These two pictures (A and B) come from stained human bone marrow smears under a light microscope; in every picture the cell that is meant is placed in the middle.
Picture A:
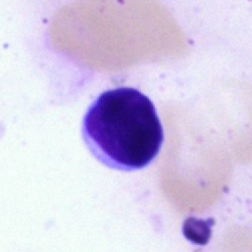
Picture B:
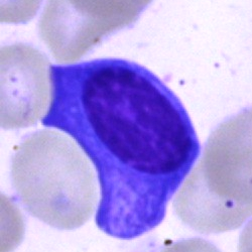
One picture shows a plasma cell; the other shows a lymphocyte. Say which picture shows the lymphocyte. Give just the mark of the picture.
A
